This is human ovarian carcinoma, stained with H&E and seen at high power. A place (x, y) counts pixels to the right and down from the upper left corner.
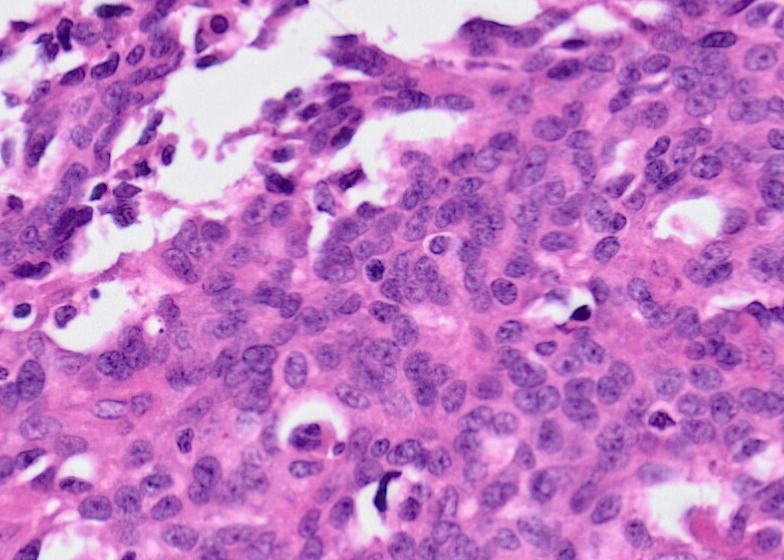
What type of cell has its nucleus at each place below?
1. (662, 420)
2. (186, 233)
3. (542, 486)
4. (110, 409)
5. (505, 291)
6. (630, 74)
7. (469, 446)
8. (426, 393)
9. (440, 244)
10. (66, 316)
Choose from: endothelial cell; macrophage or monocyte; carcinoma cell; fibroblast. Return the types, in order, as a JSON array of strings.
["carcinoma cell", "carcinoma cell", "carcinoma cell", "endothelial cell", "macrophage or monocyte", "carcinoma cell", "carcinoma cell", "carcinoma cell", "macrophage or monocyte", "macrophage or monocyte"]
